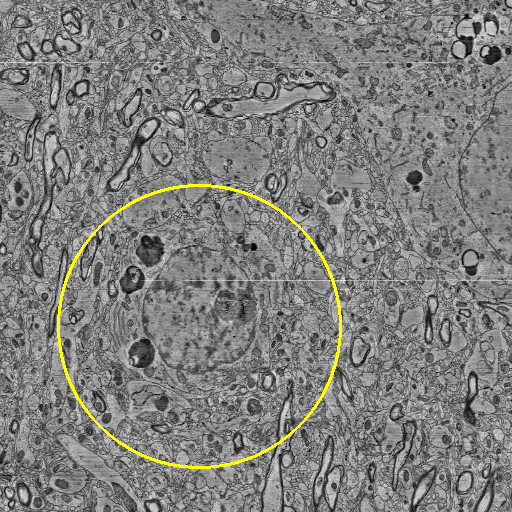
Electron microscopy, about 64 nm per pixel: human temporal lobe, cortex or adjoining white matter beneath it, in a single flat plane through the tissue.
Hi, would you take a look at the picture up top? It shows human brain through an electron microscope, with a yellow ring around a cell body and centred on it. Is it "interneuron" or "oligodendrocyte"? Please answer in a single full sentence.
The best fit for the cell in the middle of the ring is an interneuron, I reckon.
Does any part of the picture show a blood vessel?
No, a blood vessel is absent from this picture.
